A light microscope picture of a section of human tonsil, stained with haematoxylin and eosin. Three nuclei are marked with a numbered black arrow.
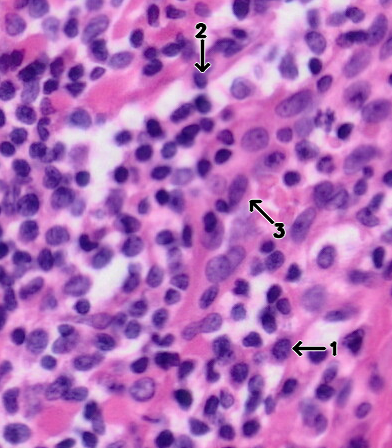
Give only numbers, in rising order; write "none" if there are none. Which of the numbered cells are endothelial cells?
2, 3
